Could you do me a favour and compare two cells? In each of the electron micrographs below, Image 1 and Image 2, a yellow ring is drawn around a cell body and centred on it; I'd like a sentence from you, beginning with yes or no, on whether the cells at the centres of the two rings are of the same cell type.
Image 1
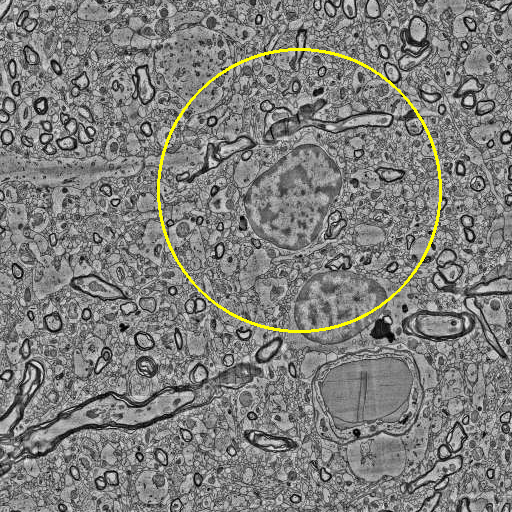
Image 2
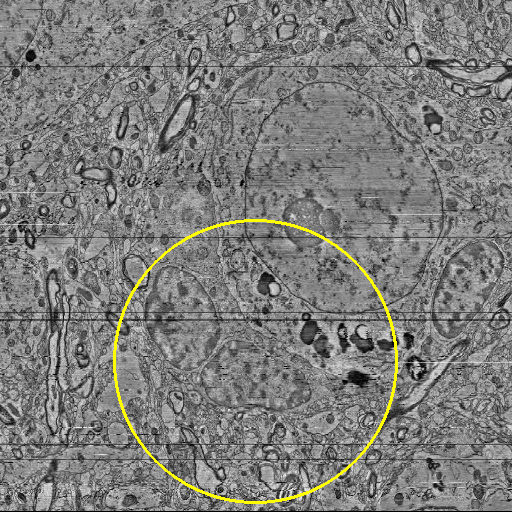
No, the two cells are of two cell types.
